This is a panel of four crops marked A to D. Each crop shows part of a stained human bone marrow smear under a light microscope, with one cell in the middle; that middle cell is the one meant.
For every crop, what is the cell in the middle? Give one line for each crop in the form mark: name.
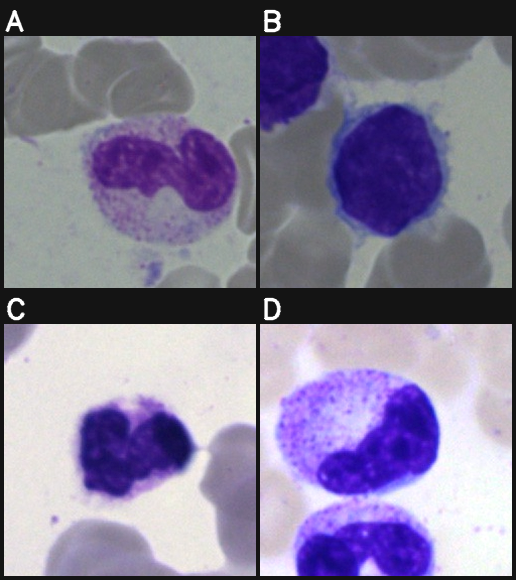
A: band neutrophil
B: lymphocyte
C: band neutrophil
D: band neutrophil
